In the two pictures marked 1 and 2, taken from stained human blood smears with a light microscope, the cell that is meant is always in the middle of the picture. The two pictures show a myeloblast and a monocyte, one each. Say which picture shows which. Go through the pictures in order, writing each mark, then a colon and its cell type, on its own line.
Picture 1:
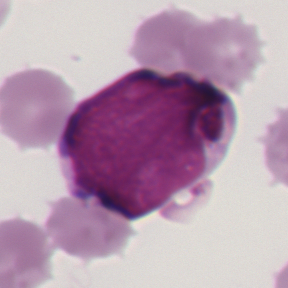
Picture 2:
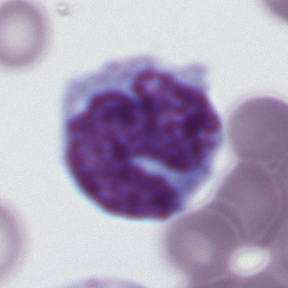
1: myeloblast
2: monocyte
